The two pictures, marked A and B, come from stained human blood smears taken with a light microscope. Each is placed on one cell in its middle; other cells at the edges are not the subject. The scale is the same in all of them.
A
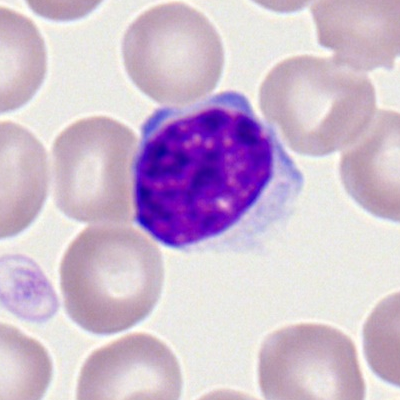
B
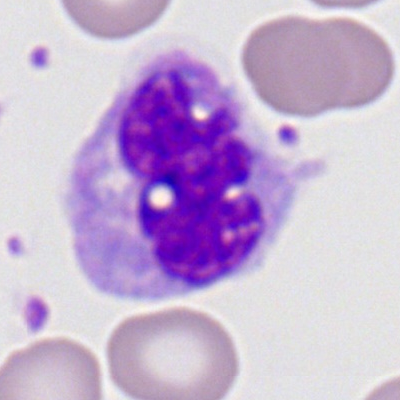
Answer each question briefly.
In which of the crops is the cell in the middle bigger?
B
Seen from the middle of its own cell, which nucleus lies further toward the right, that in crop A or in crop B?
B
